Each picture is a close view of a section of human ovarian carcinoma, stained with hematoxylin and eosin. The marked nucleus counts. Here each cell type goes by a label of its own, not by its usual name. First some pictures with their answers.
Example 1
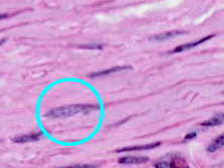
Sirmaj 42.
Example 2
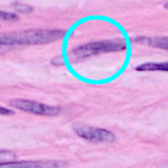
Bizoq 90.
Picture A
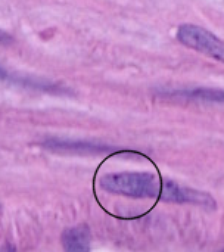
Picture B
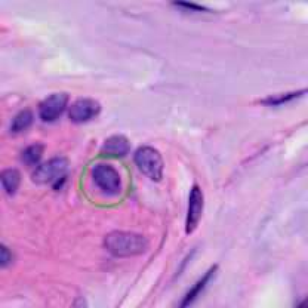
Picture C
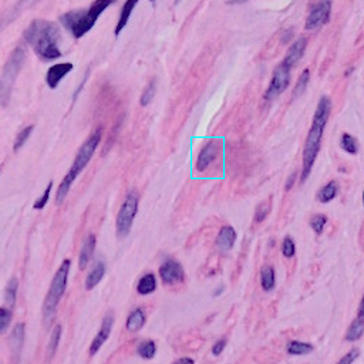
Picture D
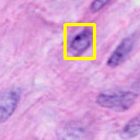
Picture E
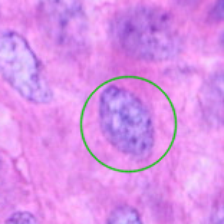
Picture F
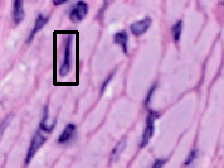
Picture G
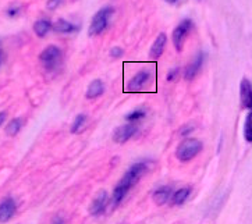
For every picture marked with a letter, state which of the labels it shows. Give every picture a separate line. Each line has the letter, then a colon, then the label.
A: Bizoq 90.
B: Bizoq 90.
C: Bizoq 90.
D: Sirmaj 42.
E: Sirmaj 42.
F: Sirmaj 42.
G: Bizoq 90.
